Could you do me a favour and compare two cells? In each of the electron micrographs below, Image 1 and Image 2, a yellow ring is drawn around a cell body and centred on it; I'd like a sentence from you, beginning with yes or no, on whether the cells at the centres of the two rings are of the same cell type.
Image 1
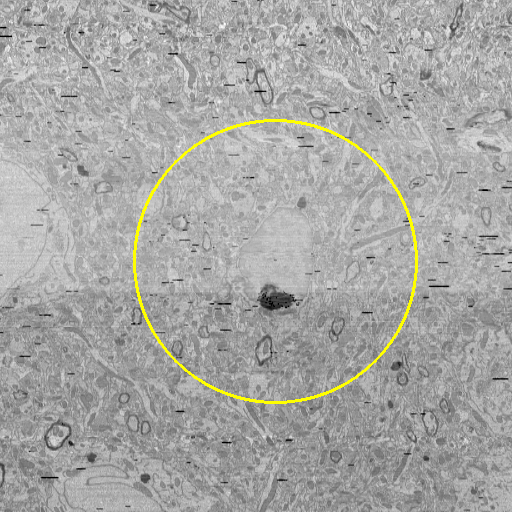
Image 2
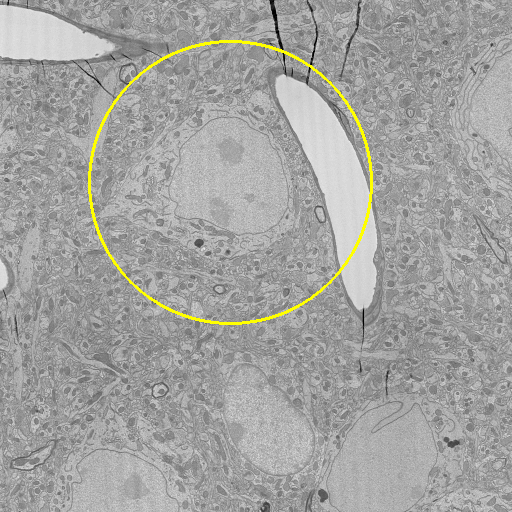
No, the two cells are of two cell types.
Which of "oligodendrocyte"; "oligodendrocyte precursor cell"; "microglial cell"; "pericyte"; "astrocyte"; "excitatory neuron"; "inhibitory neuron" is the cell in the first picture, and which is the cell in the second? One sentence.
The two differ: the first cell is a microglial cell and the second is an excitatory neuron.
